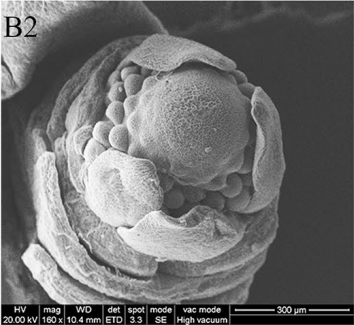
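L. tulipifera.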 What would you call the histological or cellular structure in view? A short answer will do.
Stamen primordia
